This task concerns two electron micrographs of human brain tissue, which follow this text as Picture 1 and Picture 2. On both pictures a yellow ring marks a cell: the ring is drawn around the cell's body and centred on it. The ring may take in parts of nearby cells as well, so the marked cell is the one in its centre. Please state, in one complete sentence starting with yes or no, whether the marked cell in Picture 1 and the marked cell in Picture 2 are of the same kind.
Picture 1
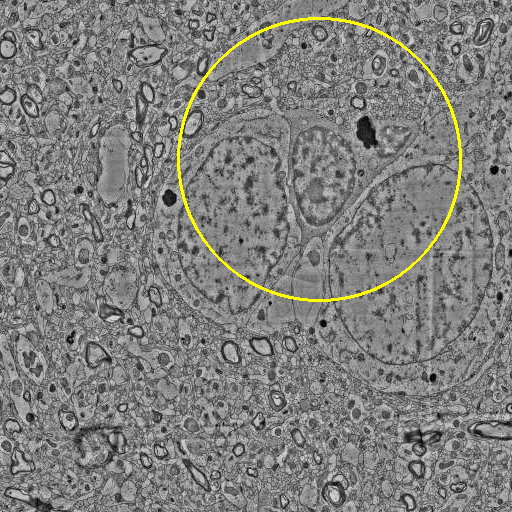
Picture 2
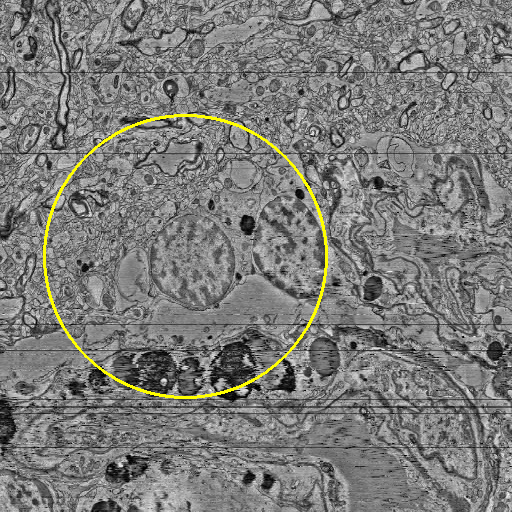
Yes, the marked cells in both pictures are of the same kind.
